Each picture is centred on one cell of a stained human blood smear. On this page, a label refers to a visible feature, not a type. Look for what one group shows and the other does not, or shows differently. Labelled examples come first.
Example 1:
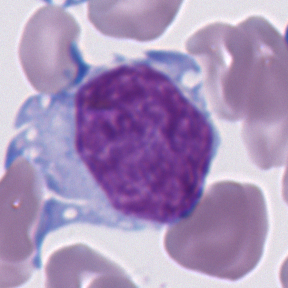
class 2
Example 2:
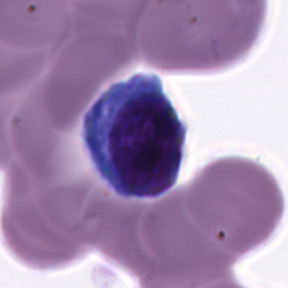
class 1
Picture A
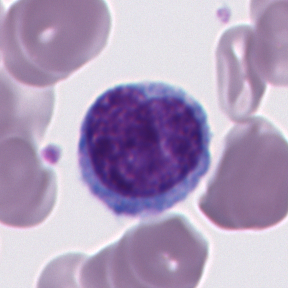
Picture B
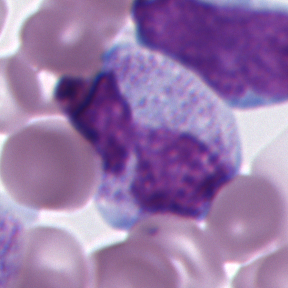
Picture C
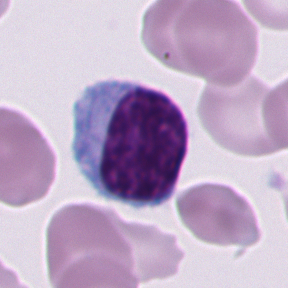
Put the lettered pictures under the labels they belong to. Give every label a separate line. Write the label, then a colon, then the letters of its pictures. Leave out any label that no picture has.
class 2: B, C
class 1: A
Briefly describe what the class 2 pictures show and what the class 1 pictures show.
Seen in class 2: abundant cytoplasm; seen in class 1: scant cytoplasm.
